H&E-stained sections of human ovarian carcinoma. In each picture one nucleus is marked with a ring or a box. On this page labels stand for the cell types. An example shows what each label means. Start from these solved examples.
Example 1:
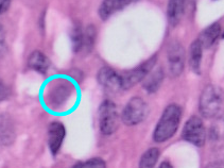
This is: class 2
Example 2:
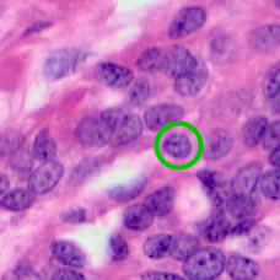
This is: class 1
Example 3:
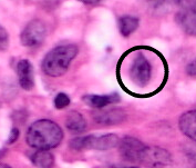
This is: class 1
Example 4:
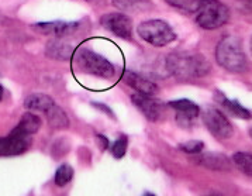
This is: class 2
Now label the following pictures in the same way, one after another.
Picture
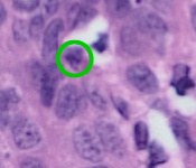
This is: class 2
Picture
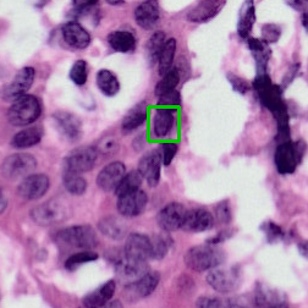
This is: class 2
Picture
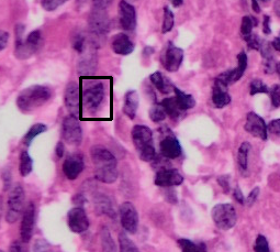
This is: class 1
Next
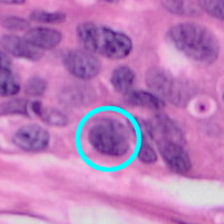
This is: class 2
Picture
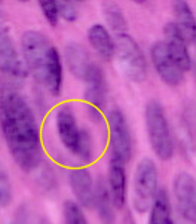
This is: class 2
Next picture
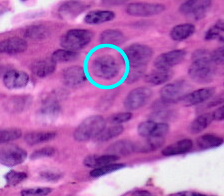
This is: class 2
